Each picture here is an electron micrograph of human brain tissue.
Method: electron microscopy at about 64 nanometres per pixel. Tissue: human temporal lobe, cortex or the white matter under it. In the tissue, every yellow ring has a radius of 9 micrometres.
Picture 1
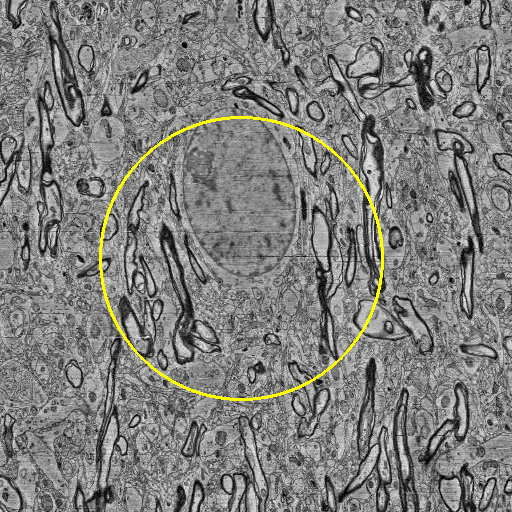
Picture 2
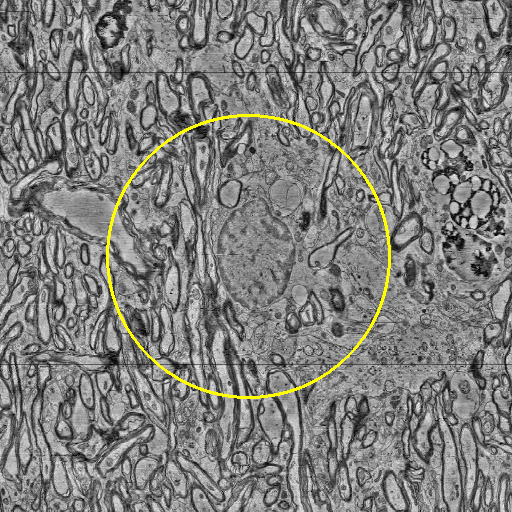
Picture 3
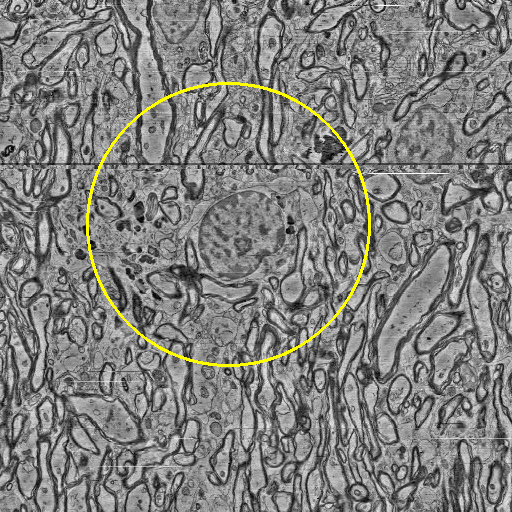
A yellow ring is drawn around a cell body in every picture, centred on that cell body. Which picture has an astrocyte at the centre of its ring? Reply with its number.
1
